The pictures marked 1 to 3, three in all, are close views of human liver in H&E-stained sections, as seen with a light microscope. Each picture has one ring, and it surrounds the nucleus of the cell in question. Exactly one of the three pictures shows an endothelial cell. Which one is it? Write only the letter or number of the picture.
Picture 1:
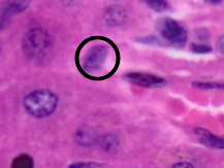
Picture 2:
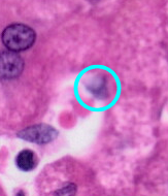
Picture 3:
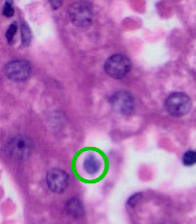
2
